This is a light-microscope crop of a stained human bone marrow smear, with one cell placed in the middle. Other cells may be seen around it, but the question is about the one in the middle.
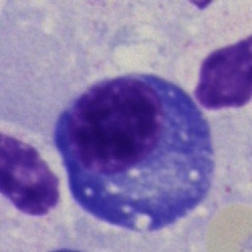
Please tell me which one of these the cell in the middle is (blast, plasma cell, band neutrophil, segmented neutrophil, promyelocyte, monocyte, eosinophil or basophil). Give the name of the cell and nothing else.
plasma cell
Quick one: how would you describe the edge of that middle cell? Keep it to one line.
Happy to help: the outline is smooth and shows no projections.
